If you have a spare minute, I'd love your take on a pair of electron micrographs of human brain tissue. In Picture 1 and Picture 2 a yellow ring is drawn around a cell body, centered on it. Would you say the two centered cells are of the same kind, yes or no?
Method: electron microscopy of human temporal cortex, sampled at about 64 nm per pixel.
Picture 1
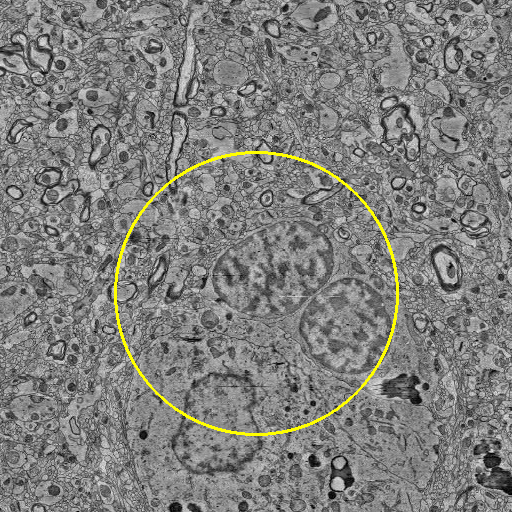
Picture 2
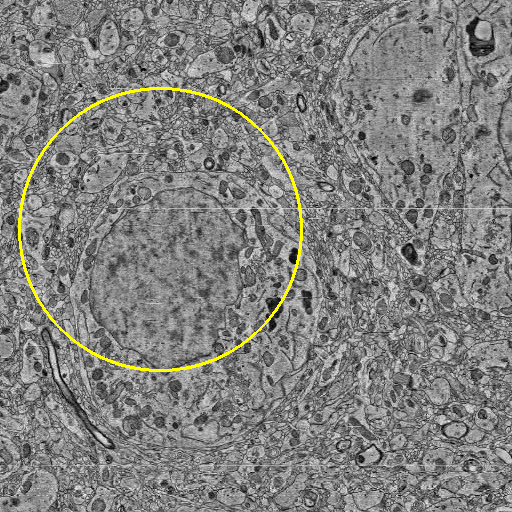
no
